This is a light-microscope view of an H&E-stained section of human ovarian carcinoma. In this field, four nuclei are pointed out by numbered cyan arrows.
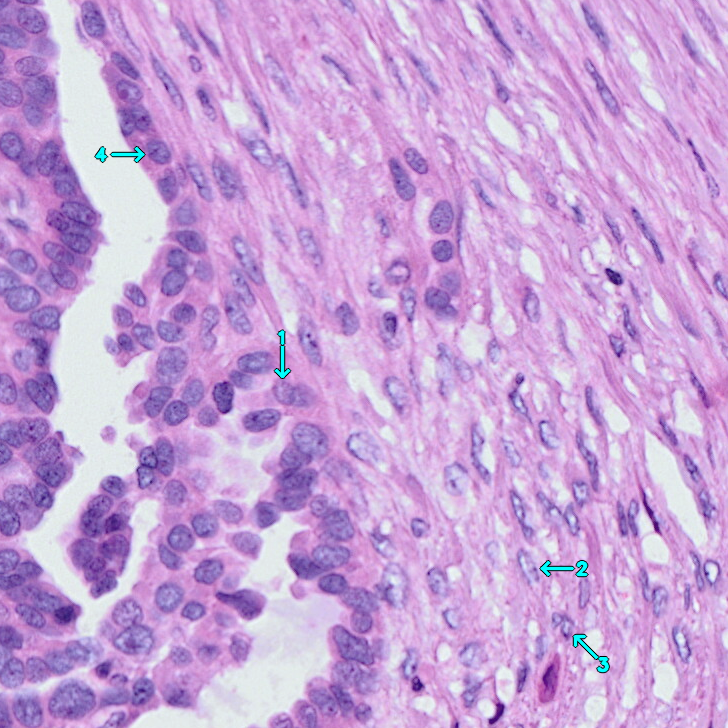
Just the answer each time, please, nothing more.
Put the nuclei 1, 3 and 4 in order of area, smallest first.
3, 1, 4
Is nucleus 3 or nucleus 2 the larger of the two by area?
2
